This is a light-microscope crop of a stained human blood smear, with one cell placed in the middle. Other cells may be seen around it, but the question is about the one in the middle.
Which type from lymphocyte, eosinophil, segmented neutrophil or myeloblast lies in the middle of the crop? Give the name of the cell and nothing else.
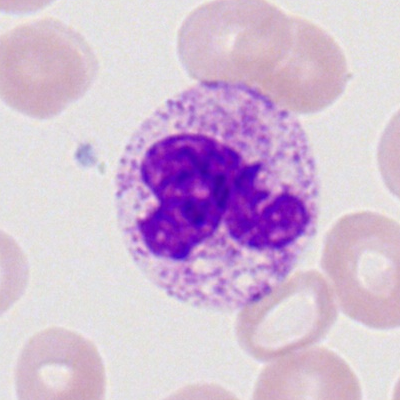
segmented neutrophil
